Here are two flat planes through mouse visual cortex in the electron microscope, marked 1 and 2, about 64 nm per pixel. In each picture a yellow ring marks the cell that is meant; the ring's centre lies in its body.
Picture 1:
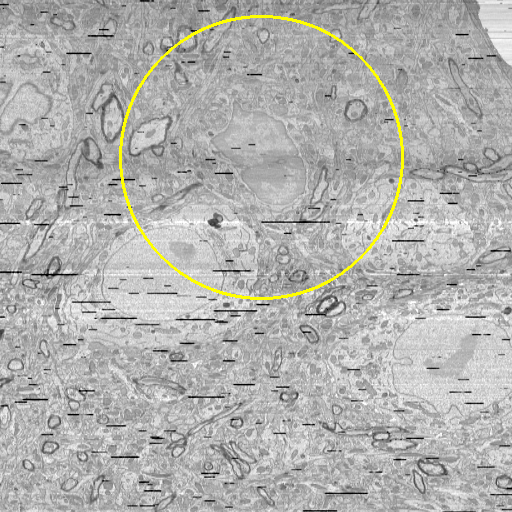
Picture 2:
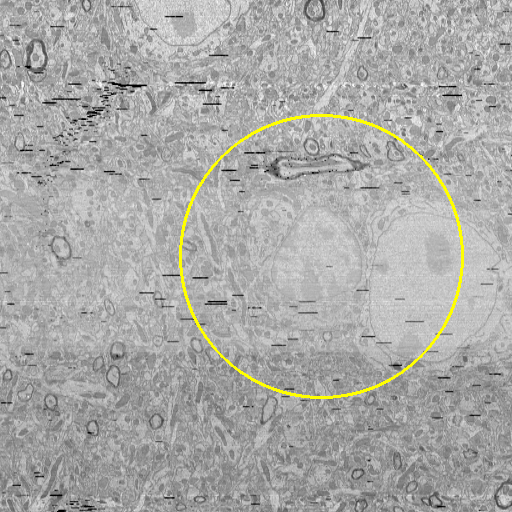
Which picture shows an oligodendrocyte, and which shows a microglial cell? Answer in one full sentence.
In picture 1 the cell is a microglial cell; in picture 2, an oligodendrocyte.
